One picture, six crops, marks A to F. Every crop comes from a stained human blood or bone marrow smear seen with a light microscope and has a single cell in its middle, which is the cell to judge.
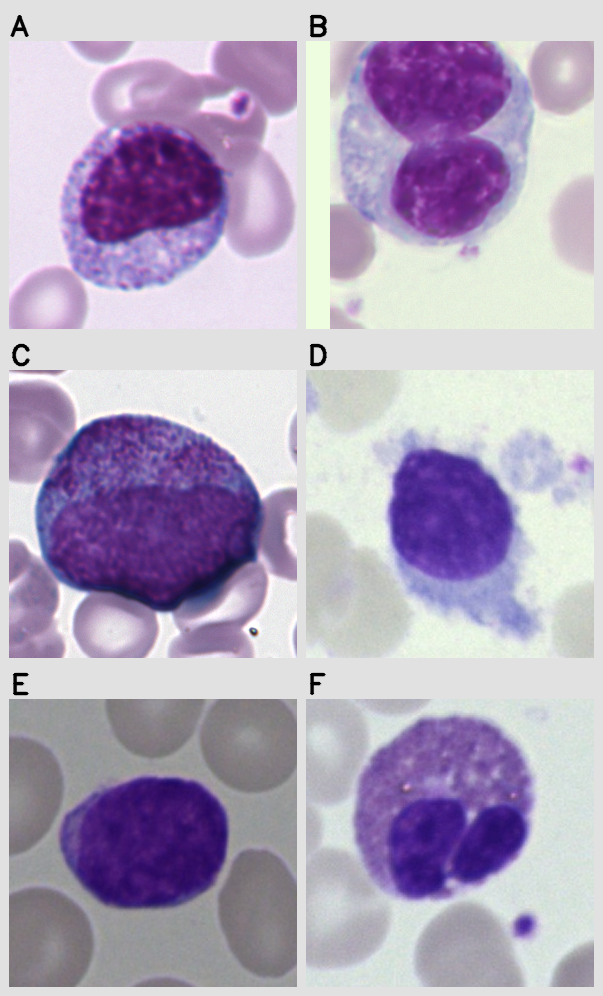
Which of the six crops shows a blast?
E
